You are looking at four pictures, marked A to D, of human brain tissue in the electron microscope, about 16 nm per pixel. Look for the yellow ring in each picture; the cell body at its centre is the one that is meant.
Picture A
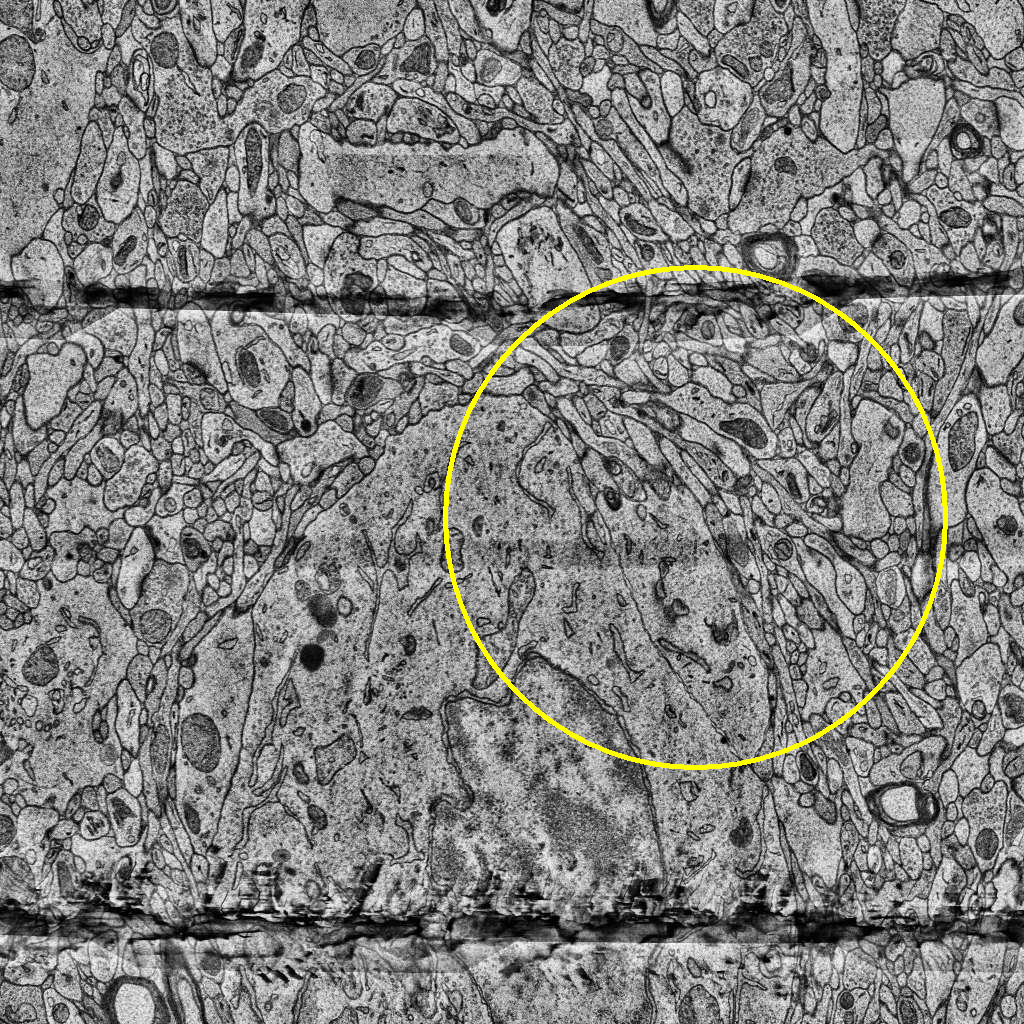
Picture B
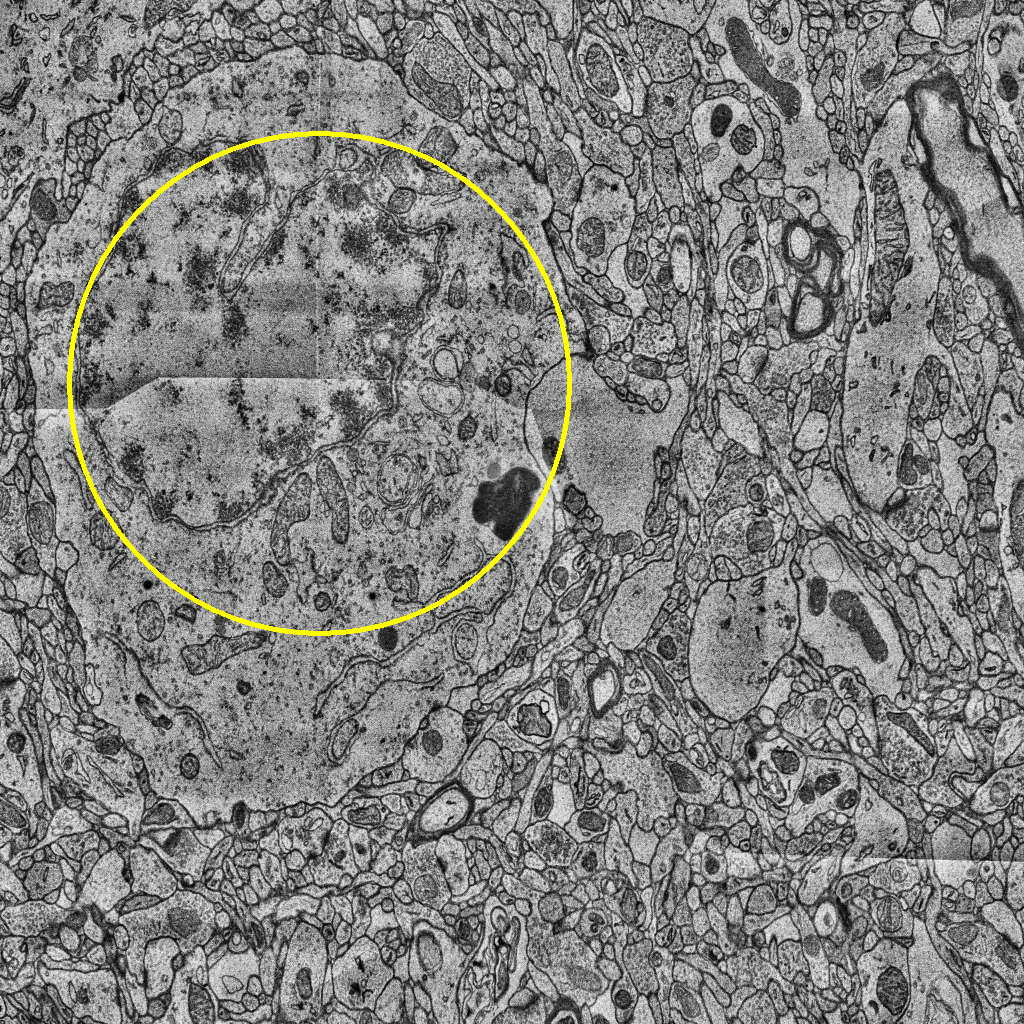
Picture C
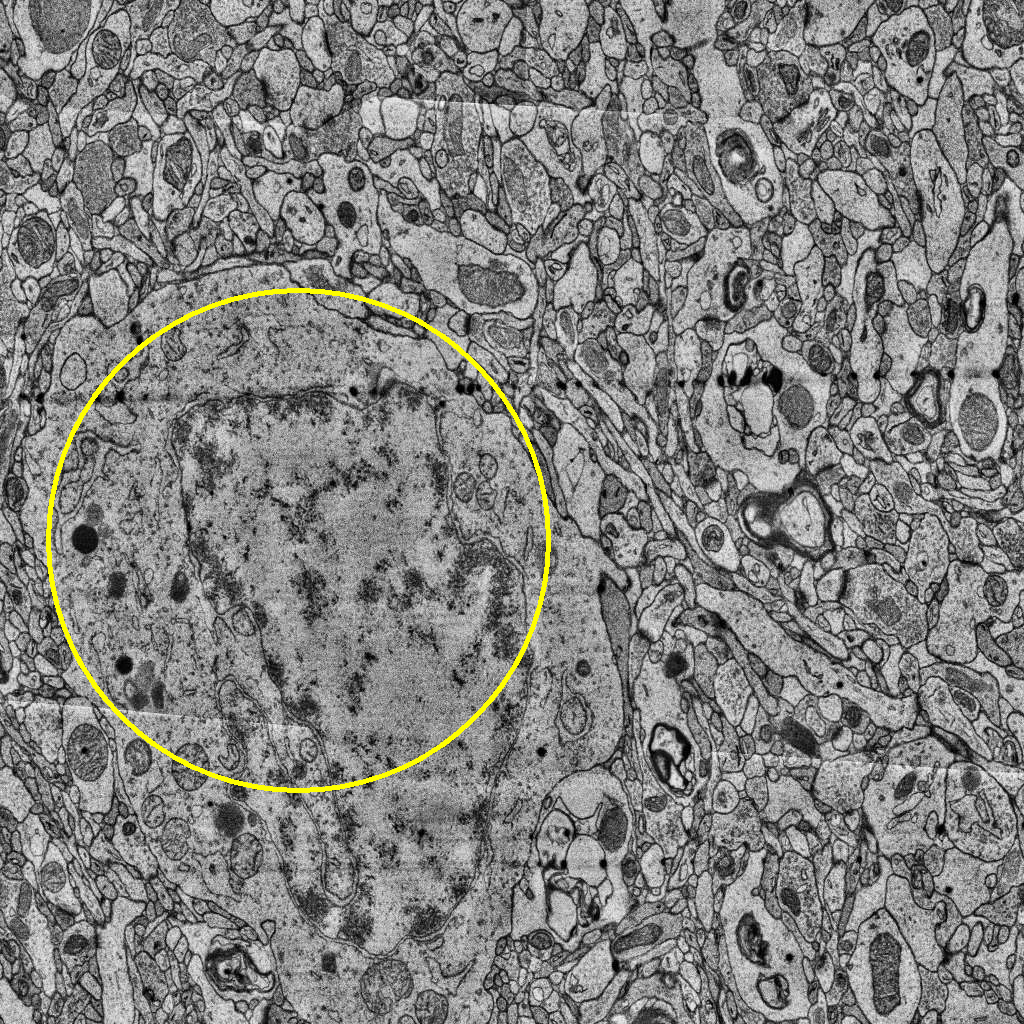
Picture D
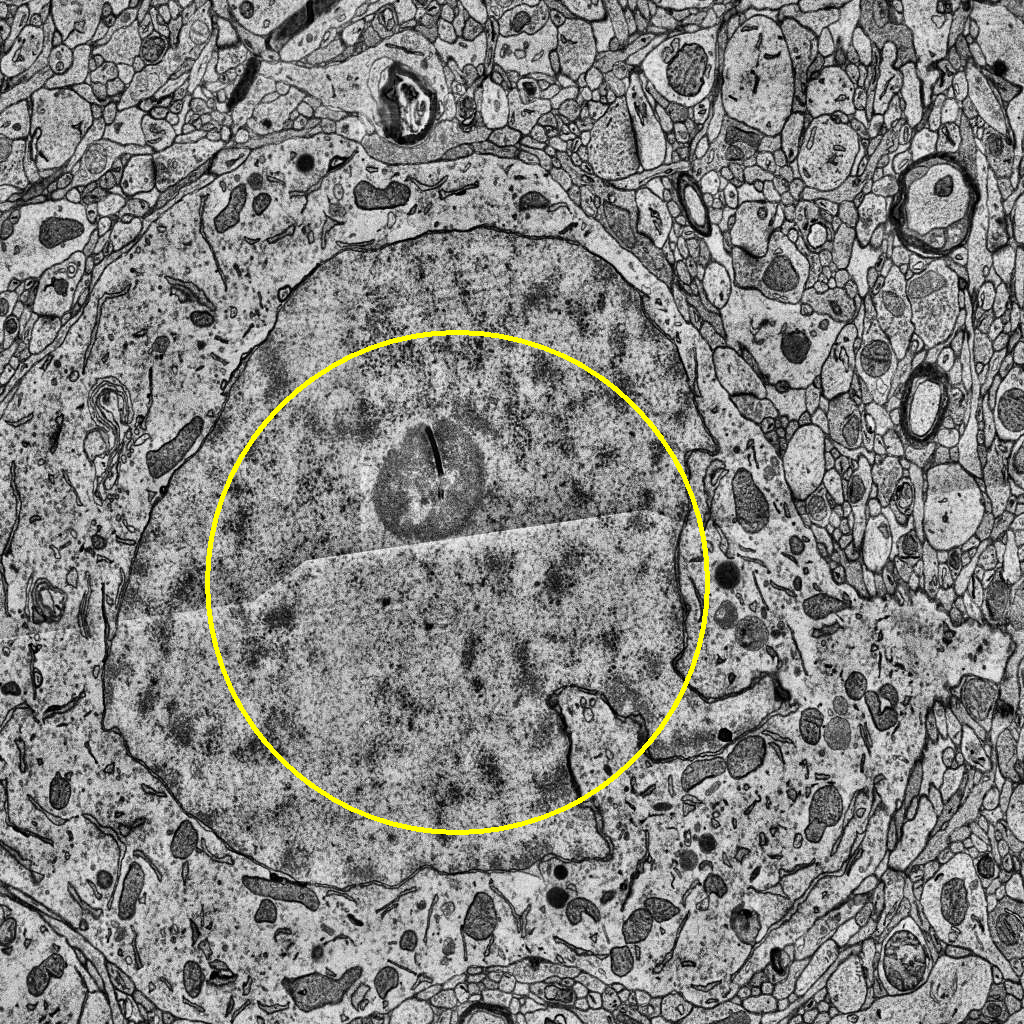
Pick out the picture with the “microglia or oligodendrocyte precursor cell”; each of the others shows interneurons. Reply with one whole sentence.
The “microglia or oligodendrocyte precursor cell” is the one in picture A.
